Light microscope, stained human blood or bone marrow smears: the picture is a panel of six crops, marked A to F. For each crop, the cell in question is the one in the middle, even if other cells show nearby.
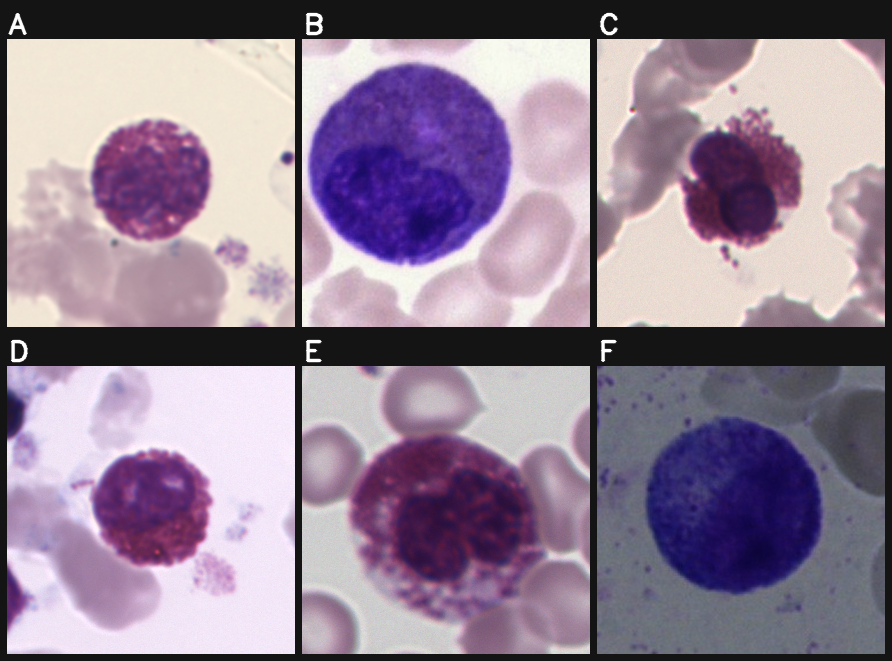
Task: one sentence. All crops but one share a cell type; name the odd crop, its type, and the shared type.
In every crop except crop F, which shows a promyelocyte, eosinophils are shown.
